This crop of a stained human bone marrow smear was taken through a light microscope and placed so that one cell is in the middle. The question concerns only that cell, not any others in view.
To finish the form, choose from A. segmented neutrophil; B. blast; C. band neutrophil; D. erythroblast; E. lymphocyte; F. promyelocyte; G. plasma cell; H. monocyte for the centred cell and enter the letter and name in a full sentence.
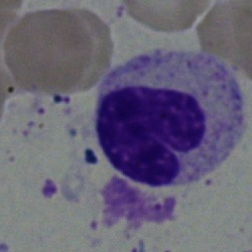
Located in the middle of the crop is a band neutrophil, and option C is therefore correct.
